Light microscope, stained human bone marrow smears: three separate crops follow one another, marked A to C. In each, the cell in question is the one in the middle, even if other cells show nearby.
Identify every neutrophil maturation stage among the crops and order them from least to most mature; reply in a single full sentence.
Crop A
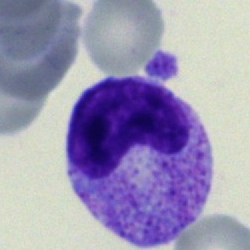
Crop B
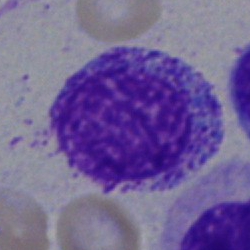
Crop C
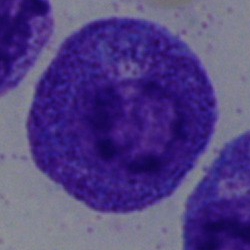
From least mature through to most mature, the order is crop C (a promyelocyte), crop B (a myelocyte) and crop A (a metamyelocyte).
